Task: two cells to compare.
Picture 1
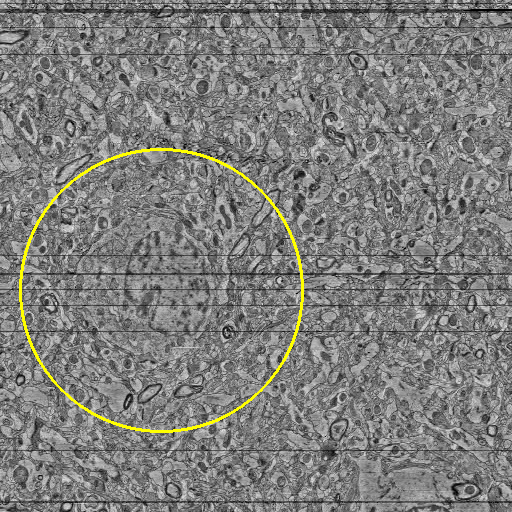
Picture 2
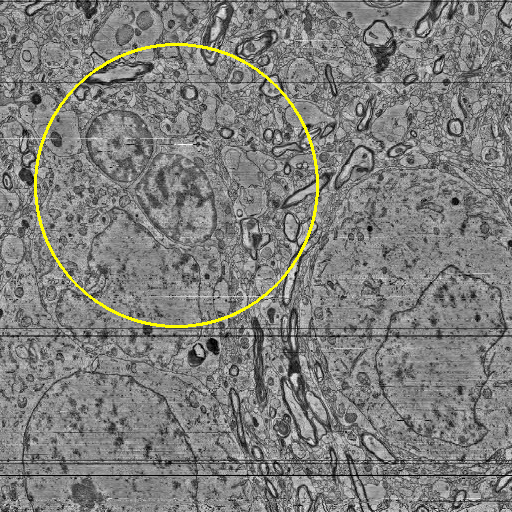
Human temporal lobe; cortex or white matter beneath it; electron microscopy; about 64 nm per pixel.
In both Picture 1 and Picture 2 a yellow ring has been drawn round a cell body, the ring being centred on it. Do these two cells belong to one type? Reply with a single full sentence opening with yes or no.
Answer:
No, the two cells at the ring centres in Picture 1 and Picture 2 are of two types.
